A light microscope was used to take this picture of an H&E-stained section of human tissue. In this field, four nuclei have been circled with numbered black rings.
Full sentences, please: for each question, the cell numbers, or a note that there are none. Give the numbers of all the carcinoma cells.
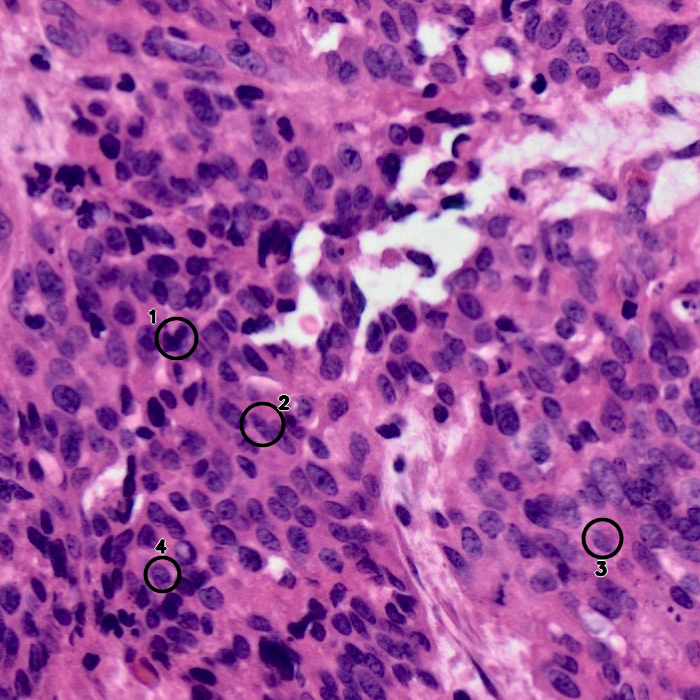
The cells that have been numbered 1, 2 and 4 are carcinoma cells.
